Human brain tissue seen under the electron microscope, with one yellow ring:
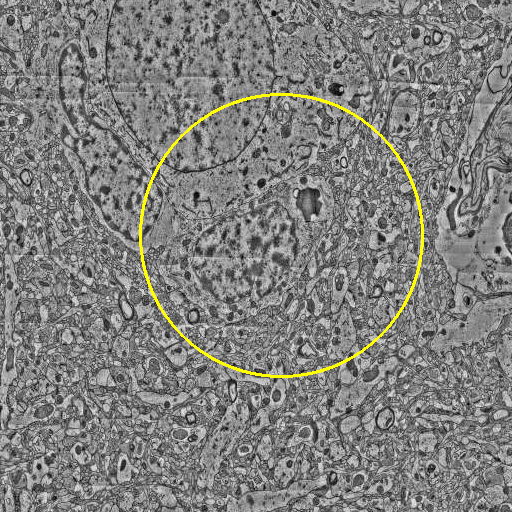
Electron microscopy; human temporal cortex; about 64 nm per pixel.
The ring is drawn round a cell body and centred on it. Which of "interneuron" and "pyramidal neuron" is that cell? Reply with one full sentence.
The picture shows an interneuron at the very centre of the yellow ring.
